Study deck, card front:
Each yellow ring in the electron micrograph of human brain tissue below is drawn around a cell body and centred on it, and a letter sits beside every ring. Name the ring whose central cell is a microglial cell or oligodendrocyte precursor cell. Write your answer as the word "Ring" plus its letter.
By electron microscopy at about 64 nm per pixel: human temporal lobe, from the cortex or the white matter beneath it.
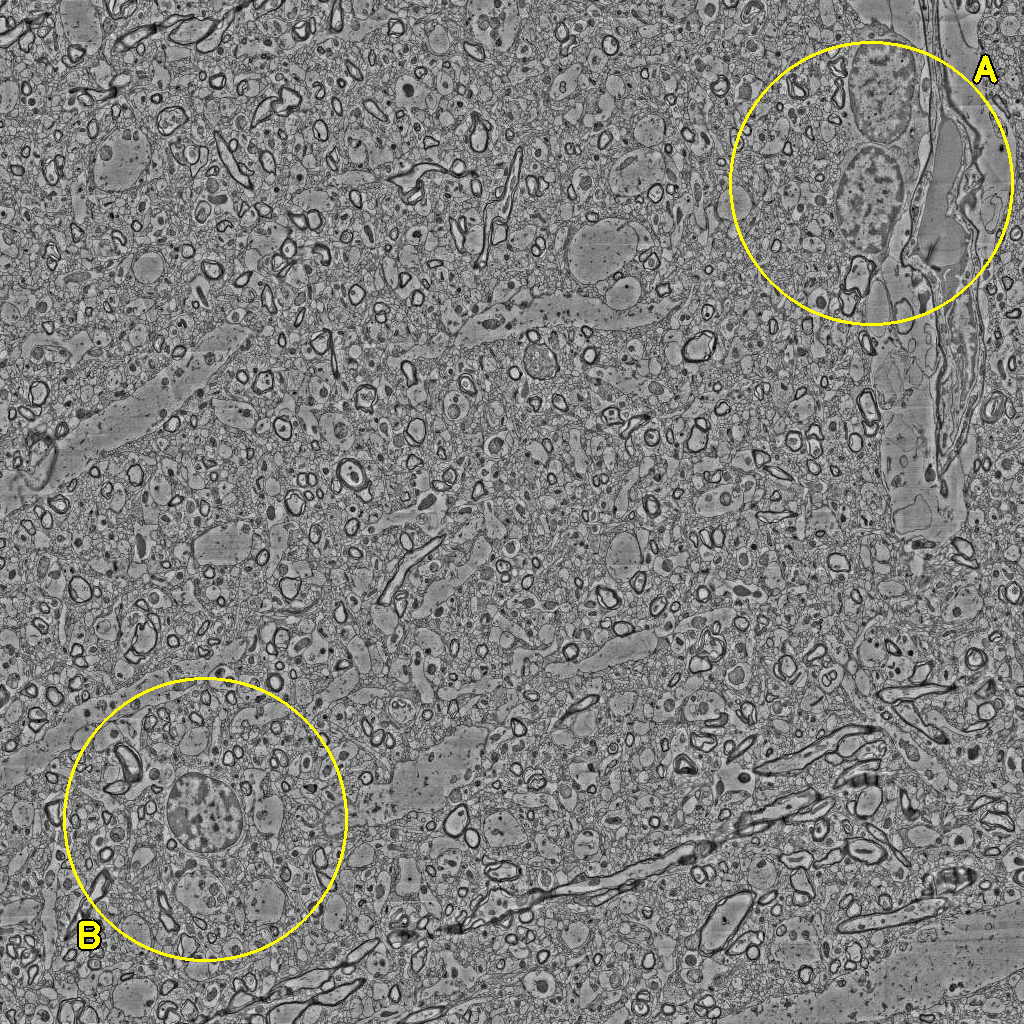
Ring B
